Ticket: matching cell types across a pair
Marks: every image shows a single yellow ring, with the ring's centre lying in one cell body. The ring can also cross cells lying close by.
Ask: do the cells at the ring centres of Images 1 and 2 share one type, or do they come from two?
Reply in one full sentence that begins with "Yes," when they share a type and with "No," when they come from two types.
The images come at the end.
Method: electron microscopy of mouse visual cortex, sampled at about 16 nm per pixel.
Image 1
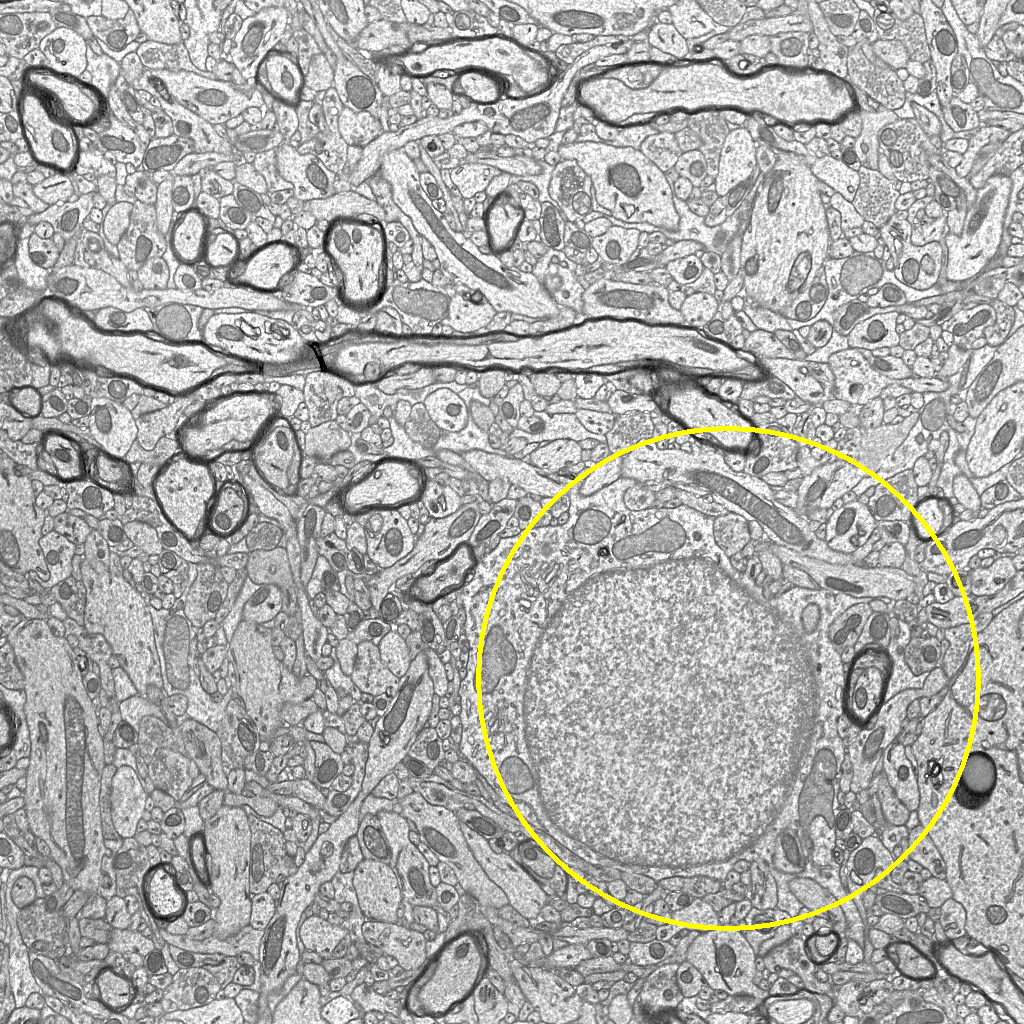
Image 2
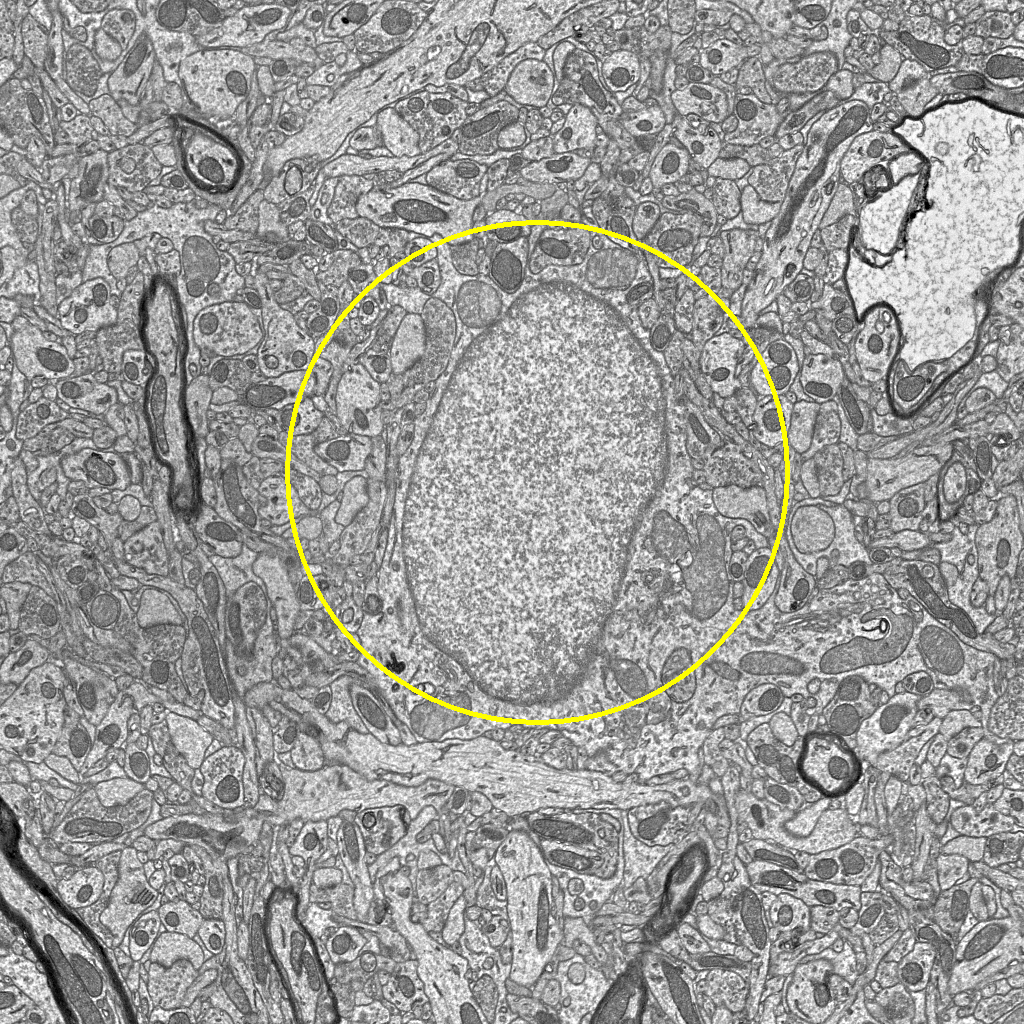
Yes, the cells at the centres of the rings in Image 1 and Image 2 share one type.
